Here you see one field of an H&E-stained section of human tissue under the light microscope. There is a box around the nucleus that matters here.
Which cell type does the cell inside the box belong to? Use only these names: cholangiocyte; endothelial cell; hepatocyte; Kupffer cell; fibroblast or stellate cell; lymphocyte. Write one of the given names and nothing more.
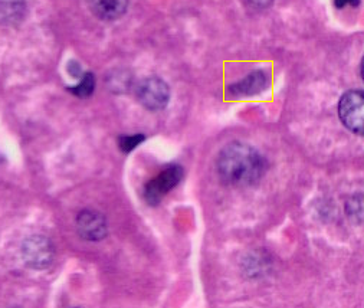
Kupffer cell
